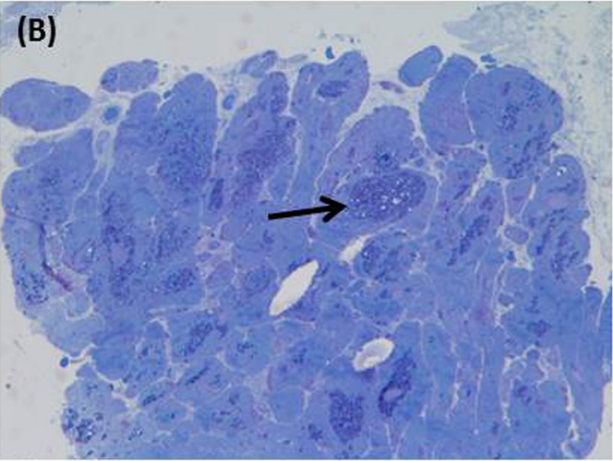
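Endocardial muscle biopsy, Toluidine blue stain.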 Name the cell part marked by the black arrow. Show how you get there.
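The arrowed cell holds a cluster of small dark blue dots in its cytoplasm. Similar dark granular clusters sit in the centers of many neighbouring cells.
Conclusion: cytoplasmic granular inclusions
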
